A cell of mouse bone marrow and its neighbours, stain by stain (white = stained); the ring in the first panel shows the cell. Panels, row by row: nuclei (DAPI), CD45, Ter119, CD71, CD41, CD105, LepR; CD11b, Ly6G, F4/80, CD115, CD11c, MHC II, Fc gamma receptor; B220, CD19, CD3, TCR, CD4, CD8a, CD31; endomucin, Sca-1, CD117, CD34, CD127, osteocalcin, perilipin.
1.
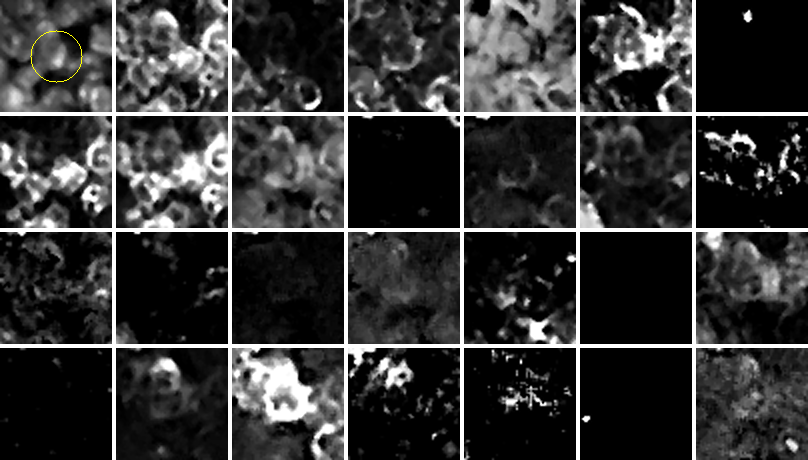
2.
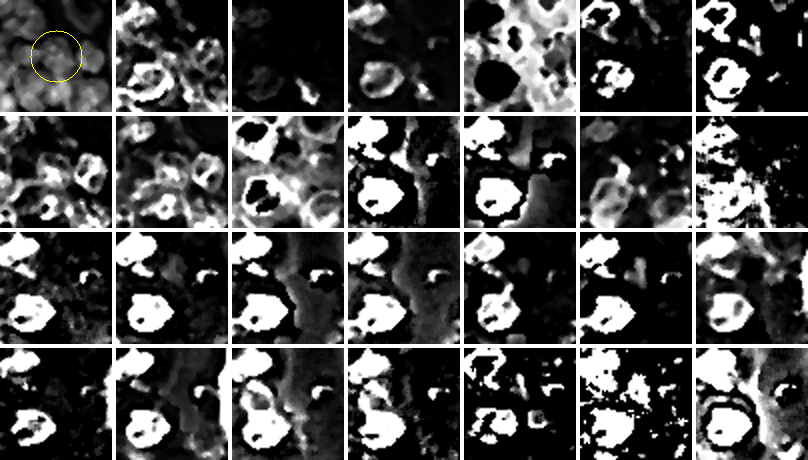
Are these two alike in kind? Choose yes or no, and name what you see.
Yes. Megakaryocyte progenitors.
